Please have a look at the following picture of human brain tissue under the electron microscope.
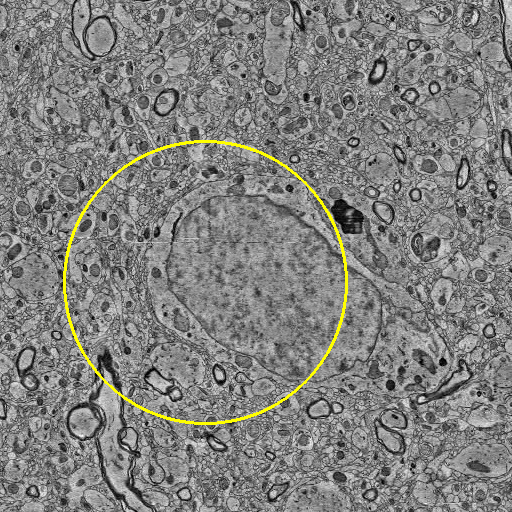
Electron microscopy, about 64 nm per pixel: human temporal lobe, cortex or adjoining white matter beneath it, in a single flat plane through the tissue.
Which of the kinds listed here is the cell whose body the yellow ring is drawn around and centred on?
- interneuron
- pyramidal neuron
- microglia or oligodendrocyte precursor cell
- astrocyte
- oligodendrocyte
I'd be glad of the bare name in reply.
interneuron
